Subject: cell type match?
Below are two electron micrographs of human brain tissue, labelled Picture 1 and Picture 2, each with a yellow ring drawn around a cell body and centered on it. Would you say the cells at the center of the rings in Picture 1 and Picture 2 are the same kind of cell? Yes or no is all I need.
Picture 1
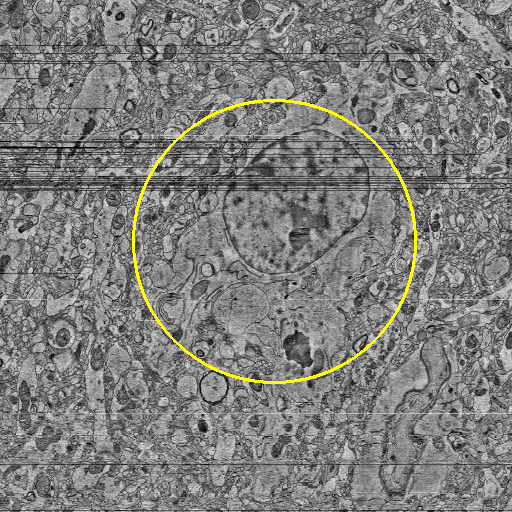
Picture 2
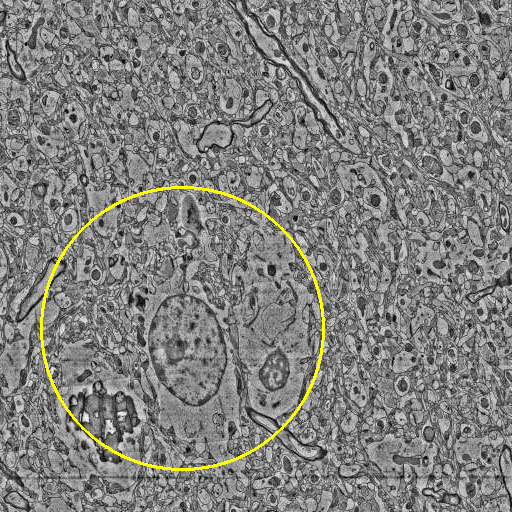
yes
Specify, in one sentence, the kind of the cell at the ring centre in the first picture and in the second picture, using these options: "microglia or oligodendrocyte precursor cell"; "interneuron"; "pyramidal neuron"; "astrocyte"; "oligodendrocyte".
The ring centre holds an astrocyte in each of the two pictures.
